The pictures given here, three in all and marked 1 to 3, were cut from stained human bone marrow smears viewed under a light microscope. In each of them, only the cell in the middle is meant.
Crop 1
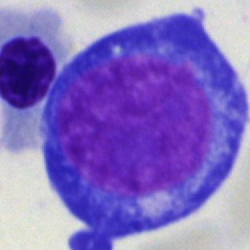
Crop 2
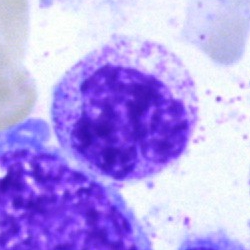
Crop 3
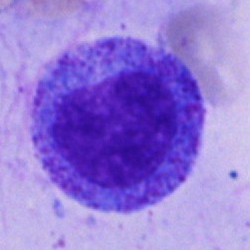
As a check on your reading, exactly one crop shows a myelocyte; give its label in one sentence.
The cell identified as a myelocyte is the one in crop 2.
